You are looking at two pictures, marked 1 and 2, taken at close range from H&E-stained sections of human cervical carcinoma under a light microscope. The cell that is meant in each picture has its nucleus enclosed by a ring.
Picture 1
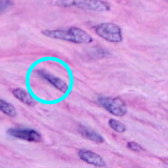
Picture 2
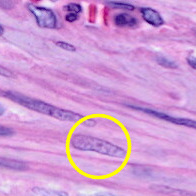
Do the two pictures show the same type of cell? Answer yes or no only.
yes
